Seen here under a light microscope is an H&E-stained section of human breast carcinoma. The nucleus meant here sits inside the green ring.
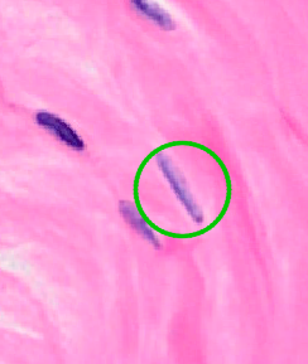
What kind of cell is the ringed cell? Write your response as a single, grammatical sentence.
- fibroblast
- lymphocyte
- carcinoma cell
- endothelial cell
In the tissue at hand, the ringed cell is a fibroblast.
